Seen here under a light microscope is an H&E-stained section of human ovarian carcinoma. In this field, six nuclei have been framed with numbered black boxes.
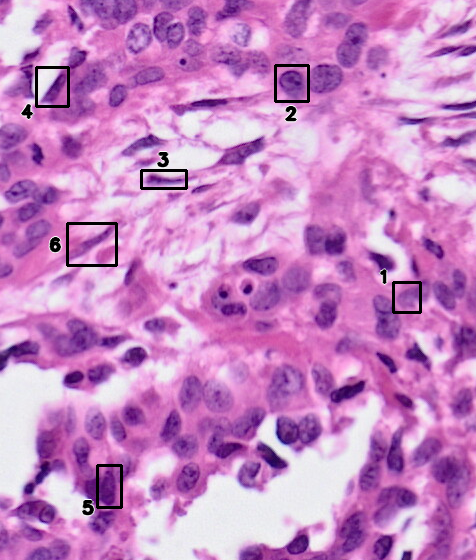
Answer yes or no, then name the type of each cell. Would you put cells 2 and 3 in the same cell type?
No, cell 2 is a carcinoma cell, while a fibroblast is what cell 3 is.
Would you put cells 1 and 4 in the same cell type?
Yes, both of the numbered cells concerned, 1 and 4, are carcinoma cells.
